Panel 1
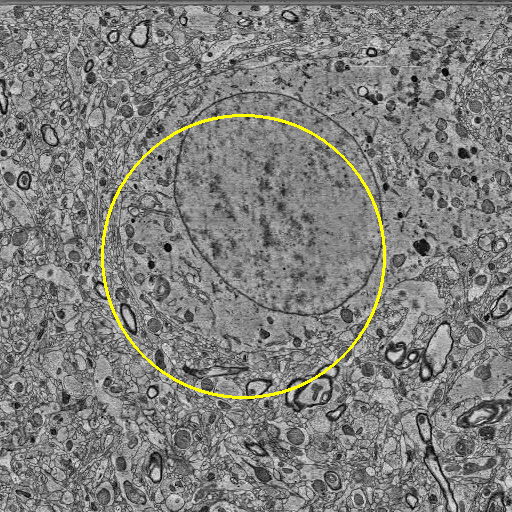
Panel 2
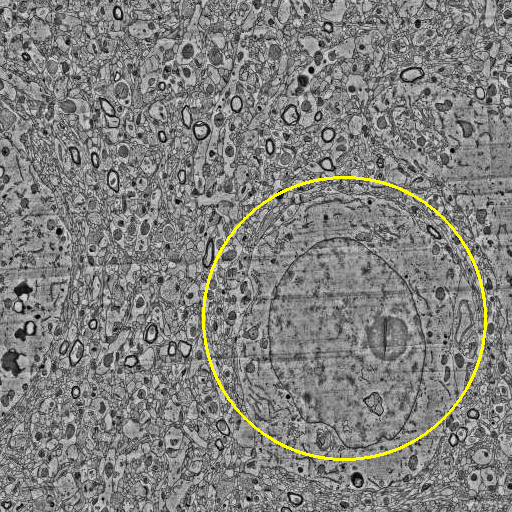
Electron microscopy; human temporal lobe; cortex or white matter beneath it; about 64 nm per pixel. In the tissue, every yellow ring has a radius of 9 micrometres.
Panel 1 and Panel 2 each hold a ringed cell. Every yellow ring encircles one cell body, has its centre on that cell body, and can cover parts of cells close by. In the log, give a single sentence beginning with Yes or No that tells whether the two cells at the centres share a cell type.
Yes, in Panel 1 and Panel 2 the centred cells share a cell type.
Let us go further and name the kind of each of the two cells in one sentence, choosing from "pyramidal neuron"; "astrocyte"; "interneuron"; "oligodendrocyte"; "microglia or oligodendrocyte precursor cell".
Each cell, in the first picture and the second, is a pyramidal neuron.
